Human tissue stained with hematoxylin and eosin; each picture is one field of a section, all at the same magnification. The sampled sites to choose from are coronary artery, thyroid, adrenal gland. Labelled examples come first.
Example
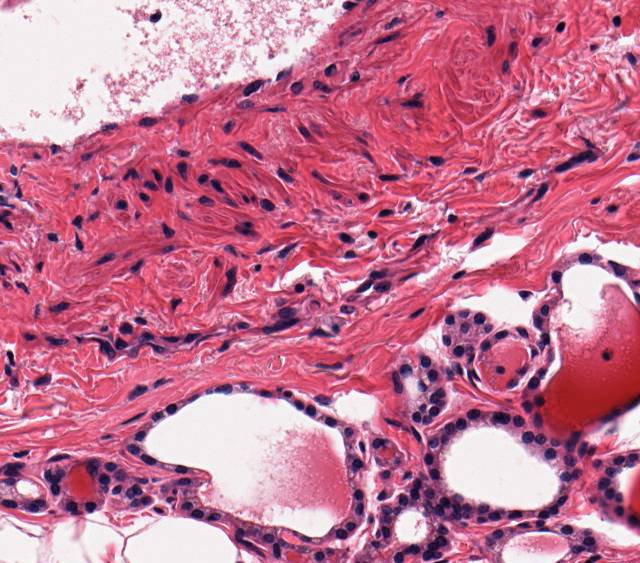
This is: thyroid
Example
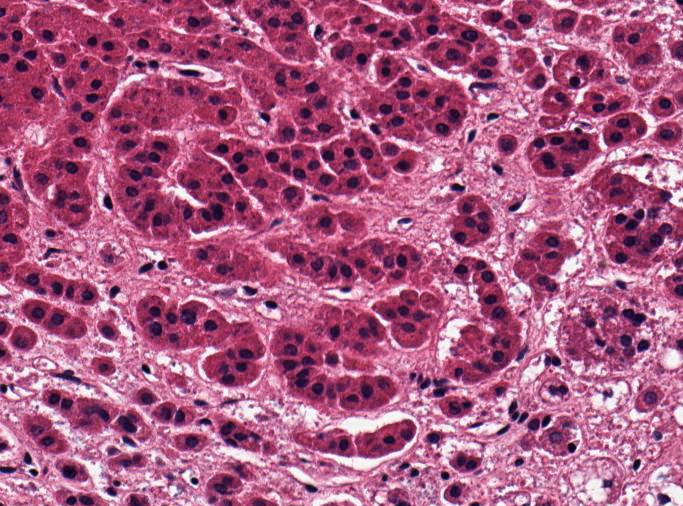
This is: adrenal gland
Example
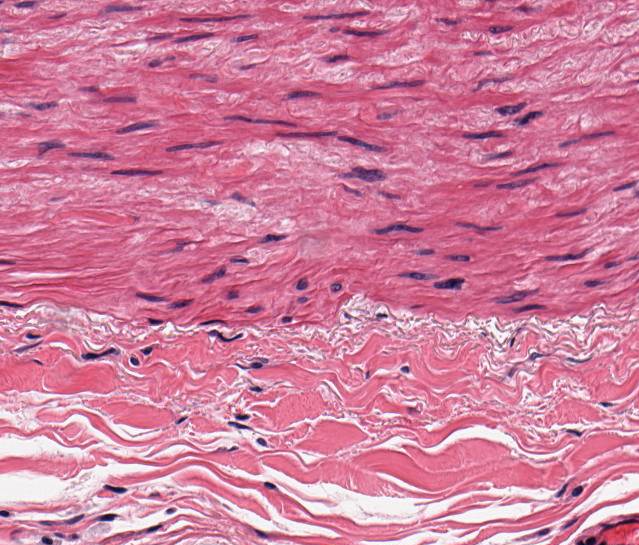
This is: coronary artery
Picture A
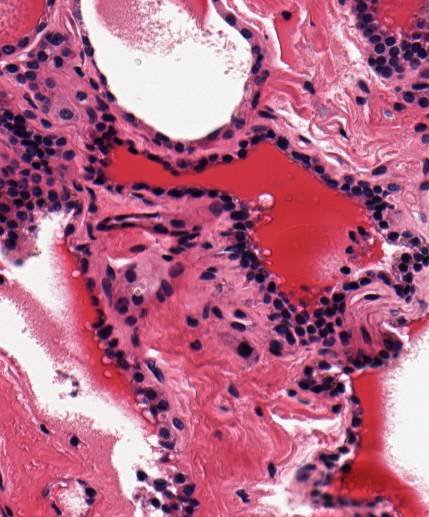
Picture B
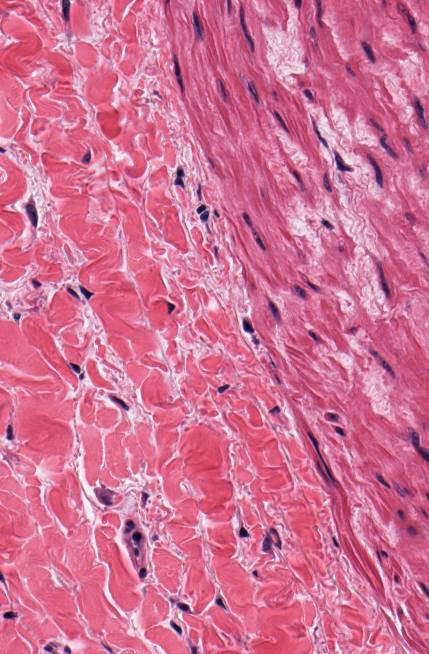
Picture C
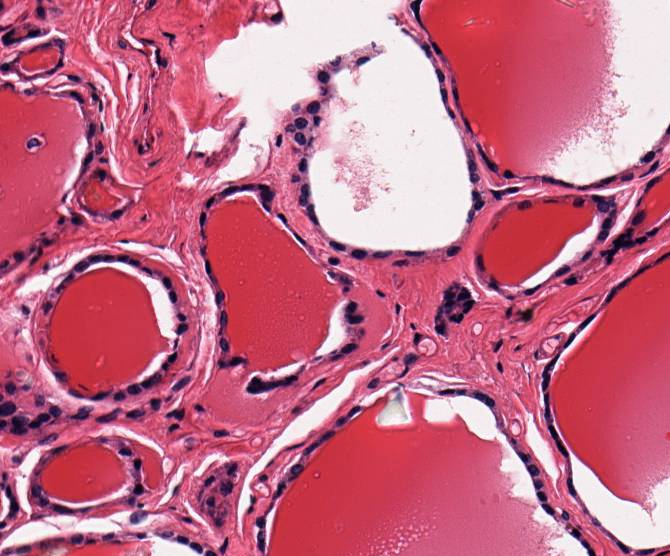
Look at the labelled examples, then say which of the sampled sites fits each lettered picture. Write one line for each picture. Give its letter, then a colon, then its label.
A: thyroid
B: coronary artery
C: thyroid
